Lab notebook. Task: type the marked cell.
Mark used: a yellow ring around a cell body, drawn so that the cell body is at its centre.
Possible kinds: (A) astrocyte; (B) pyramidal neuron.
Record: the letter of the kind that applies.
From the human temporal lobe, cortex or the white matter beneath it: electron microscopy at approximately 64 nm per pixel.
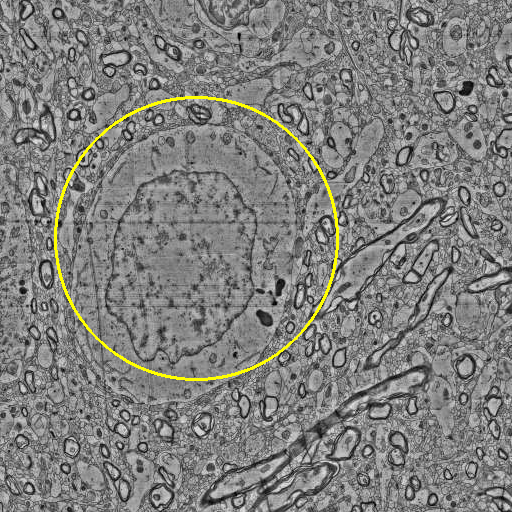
B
